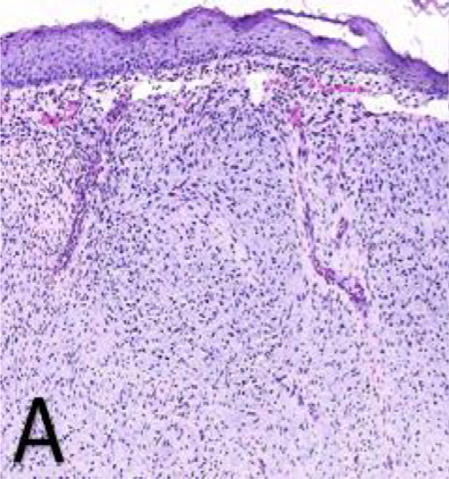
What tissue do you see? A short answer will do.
Cutaneous tissue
